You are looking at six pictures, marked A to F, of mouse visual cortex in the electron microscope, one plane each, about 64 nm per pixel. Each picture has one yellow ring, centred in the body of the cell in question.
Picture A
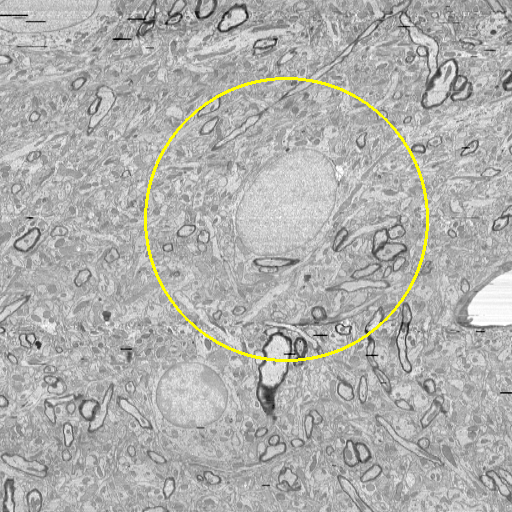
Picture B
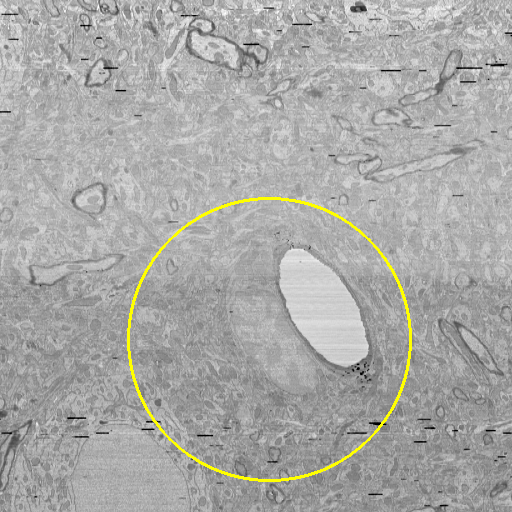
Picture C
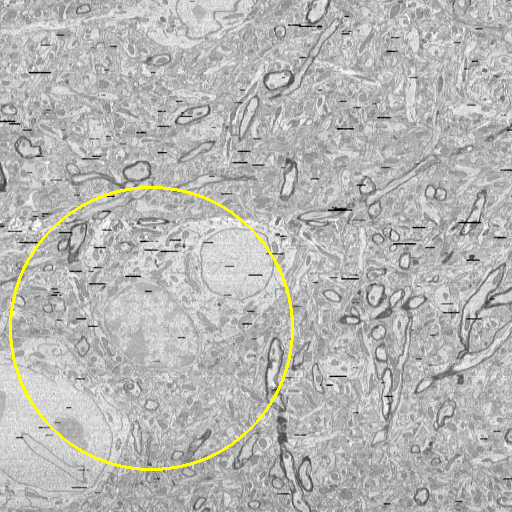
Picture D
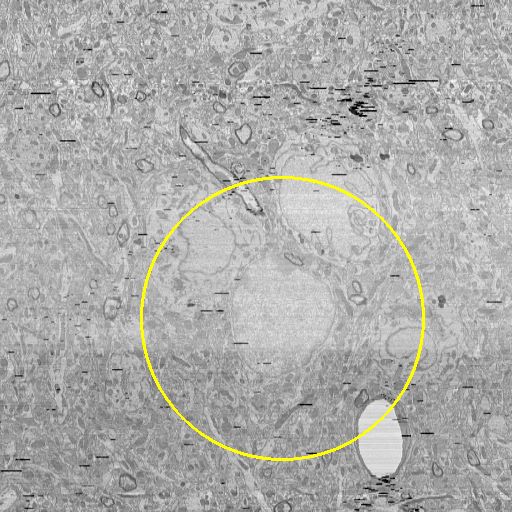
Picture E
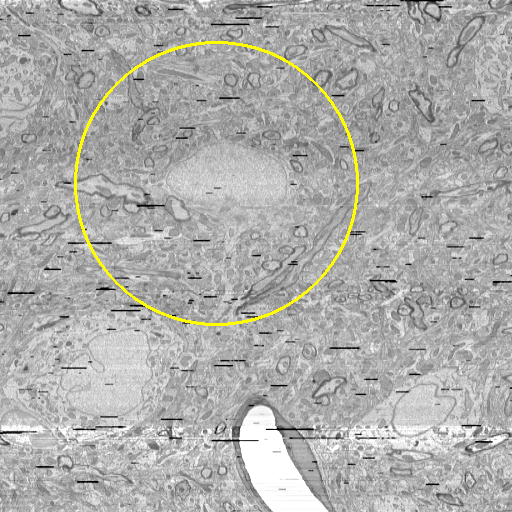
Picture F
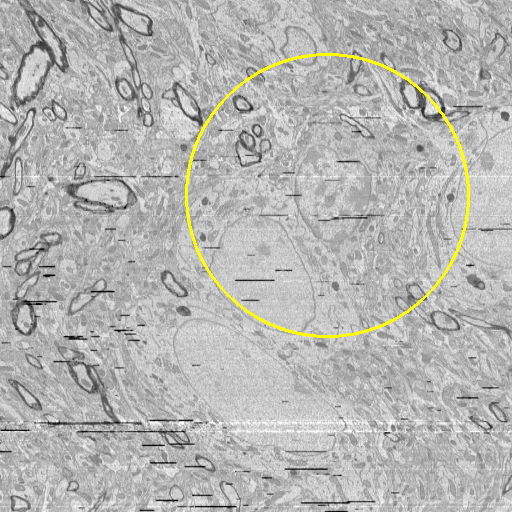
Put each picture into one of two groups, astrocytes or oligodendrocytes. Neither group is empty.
Pictures A, D and E show astrocytes; pictures B, C and F show oligodendrocytes.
